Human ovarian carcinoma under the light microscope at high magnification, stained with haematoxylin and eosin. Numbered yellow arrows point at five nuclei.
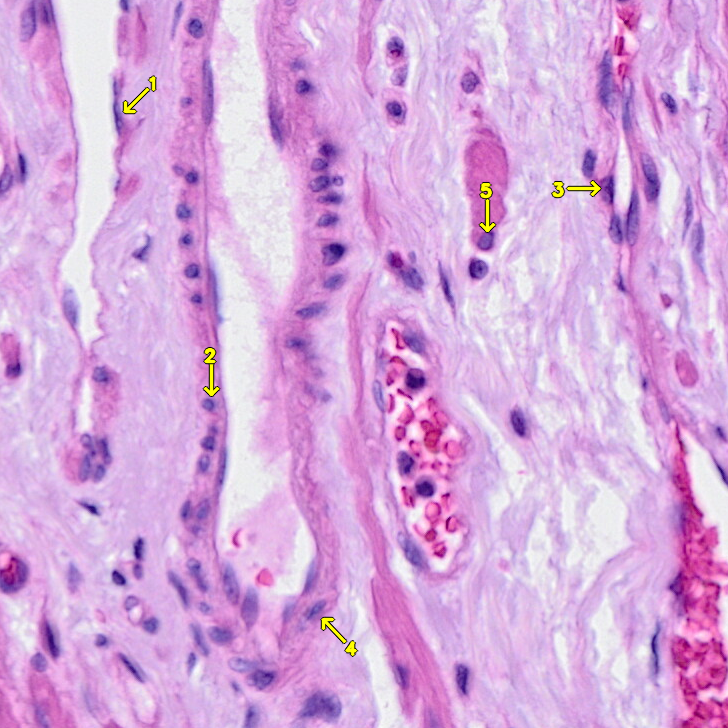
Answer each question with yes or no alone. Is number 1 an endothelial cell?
yes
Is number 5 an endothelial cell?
no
